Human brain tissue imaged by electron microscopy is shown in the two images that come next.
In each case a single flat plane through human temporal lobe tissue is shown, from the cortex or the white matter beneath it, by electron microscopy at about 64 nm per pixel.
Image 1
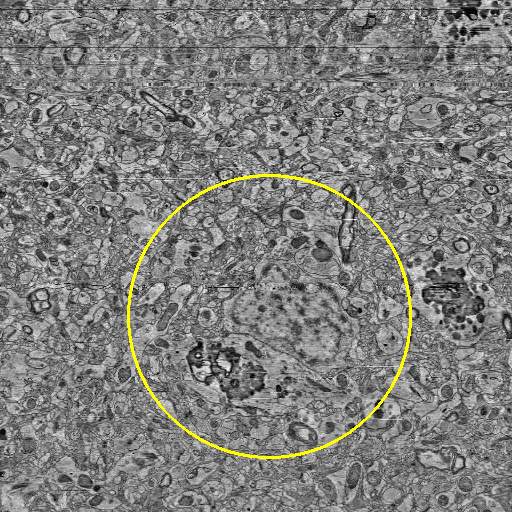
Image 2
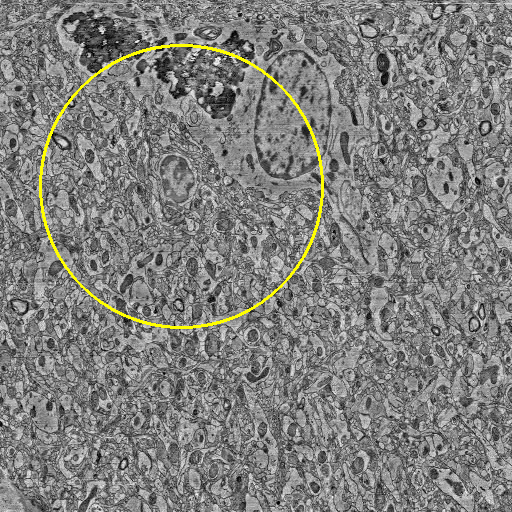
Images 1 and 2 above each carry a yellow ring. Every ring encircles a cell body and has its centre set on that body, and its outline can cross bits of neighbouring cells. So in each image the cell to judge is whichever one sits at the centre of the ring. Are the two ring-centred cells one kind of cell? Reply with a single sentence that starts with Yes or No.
No, in Image 1 and Image 2 the cells at the centres of their rings fall into two types.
